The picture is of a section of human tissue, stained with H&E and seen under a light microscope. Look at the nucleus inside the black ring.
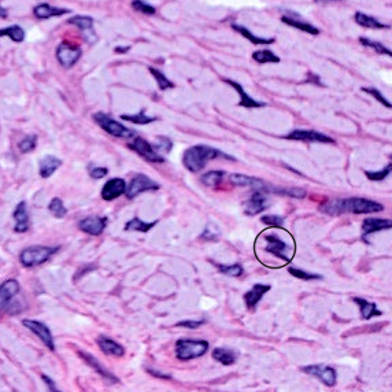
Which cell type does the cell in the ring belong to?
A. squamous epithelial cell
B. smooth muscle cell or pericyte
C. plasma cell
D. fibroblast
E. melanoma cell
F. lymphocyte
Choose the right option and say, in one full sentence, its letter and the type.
Option D names it right: the cell in the ring is a fibroblast.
